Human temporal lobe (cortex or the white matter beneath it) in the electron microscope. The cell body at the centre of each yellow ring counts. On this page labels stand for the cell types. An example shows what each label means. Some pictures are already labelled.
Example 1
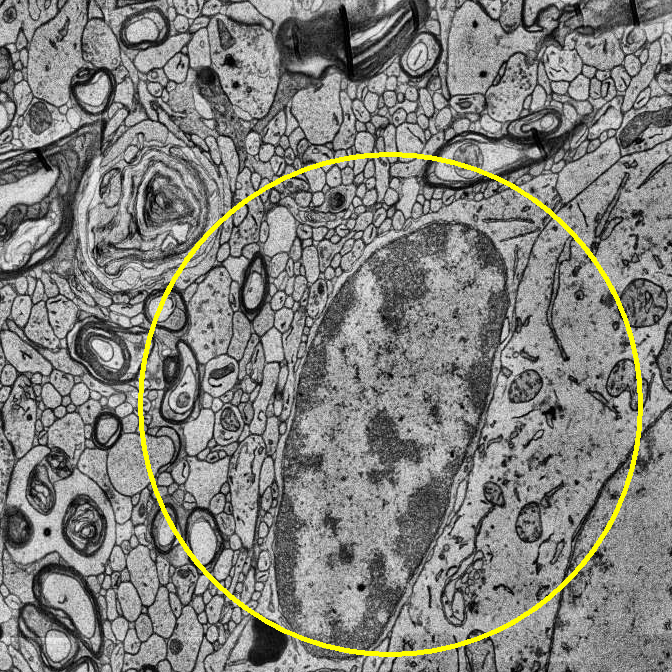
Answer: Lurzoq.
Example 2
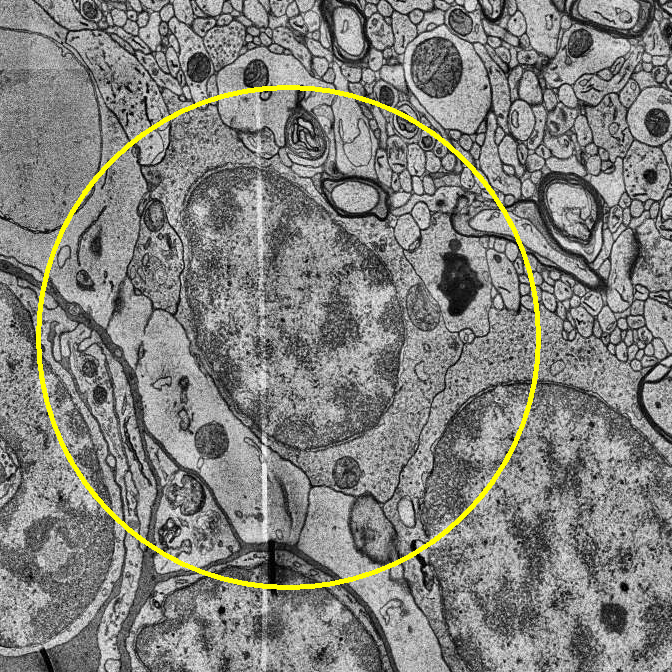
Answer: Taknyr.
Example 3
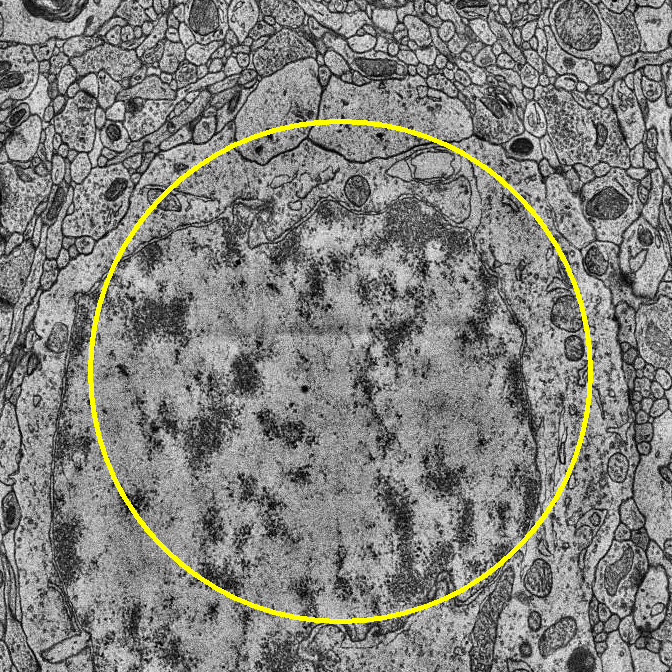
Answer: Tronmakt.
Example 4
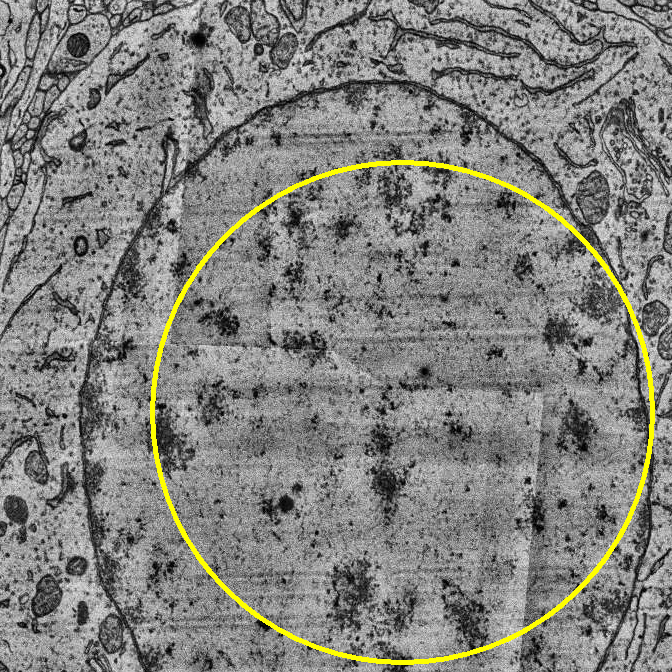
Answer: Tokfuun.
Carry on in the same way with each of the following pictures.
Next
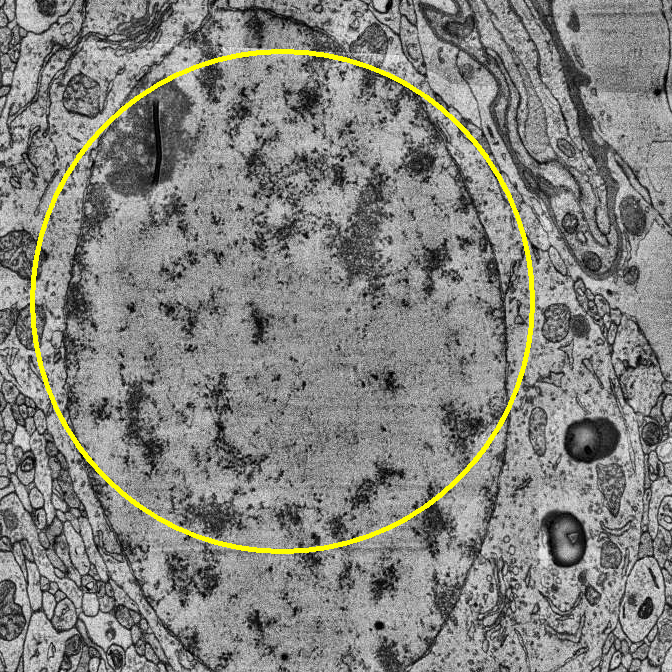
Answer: Tokfuun.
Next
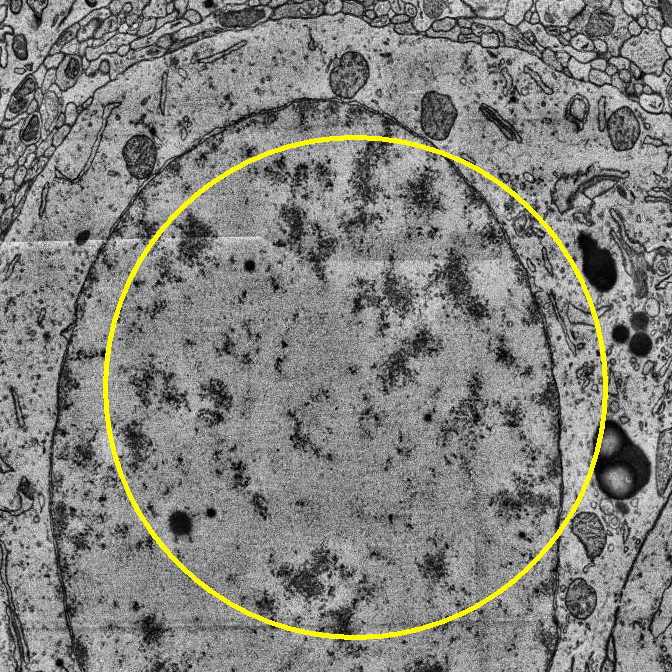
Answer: Tokfuun.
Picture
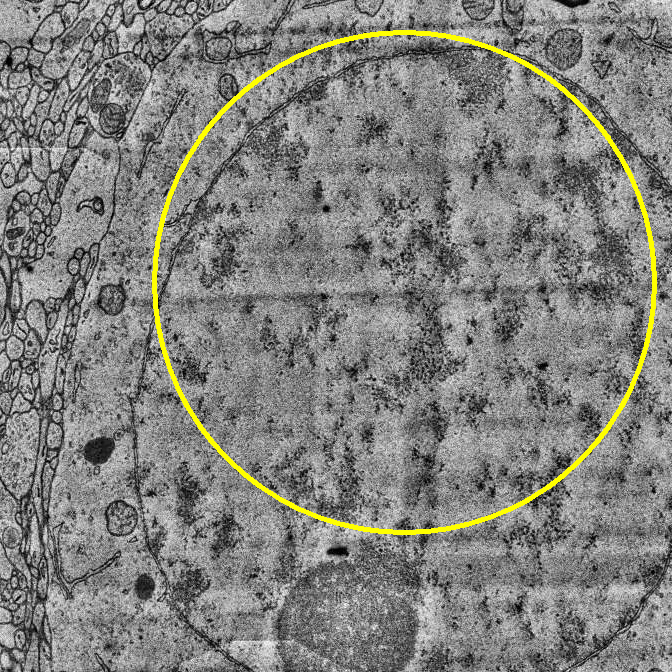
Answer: Tokfuun.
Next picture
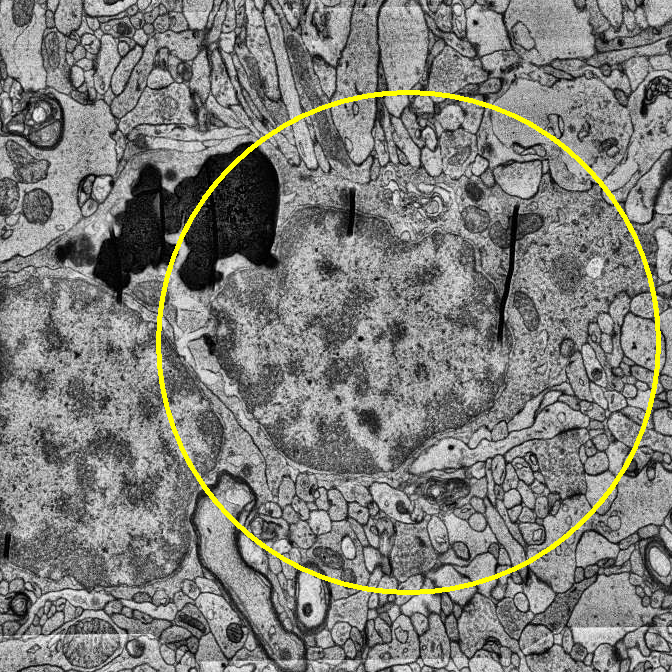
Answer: Taknyr.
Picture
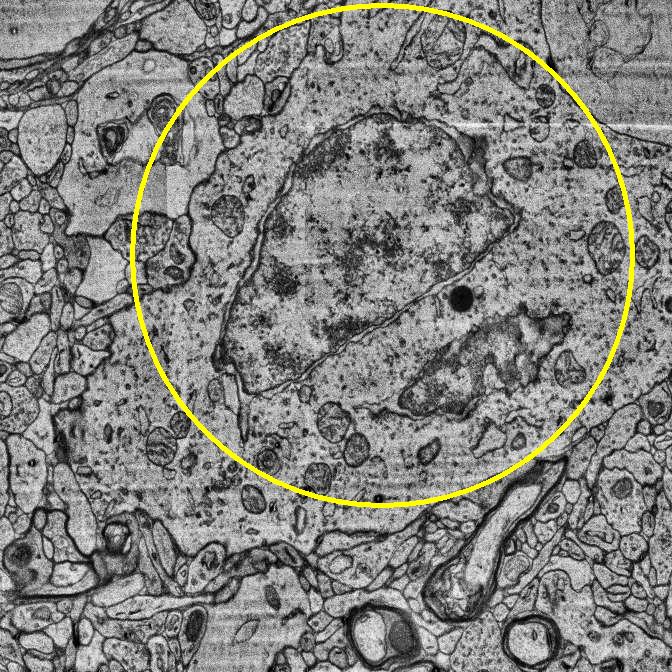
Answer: Tronmakt.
